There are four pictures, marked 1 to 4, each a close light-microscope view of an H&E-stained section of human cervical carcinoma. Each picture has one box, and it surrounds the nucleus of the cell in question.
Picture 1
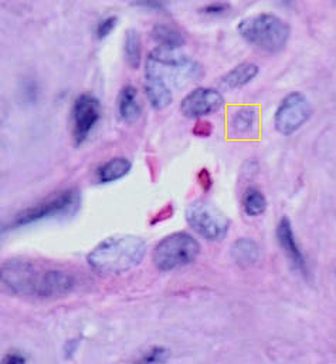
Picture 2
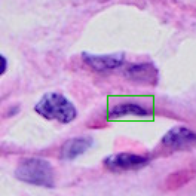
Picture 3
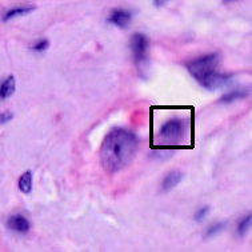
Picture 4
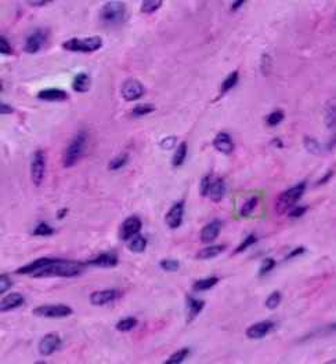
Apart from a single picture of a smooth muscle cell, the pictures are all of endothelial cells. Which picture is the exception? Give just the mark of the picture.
4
